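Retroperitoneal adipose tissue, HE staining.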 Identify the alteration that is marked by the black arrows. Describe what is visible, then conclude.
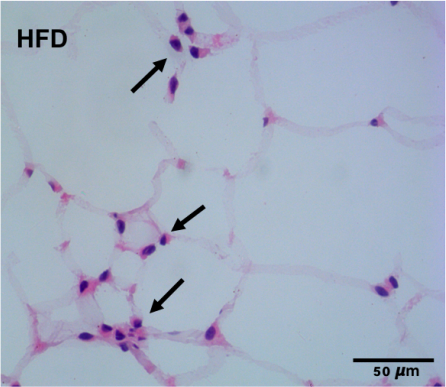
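Clusters of small cells with round dark purple nuclei sit in the septa between large empty vacuoles. The cells lie in groups where several vacuoles meet.
Hence: mononuclear cell infiltrate.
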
